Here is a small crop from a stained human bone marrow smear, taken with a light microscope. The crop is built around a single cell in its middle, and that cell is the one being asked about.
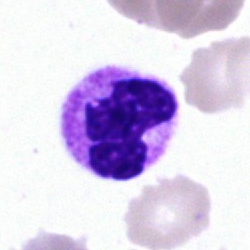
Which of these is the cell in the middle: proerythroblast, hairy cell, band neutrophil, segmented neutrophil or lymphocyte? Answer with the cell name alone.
segmented neutrophil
